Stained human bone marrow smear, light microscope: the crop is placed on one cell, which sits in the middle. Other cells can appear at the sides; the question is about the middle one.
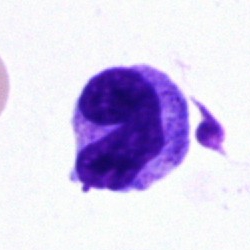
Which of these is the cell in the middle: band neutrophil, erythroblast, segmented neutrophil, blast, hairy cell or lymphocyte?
band neutrophil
